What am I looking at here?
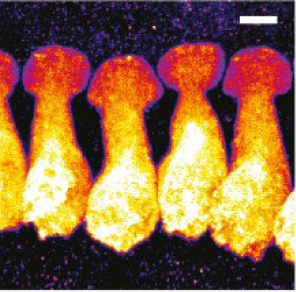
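A single row of inner hair cells is seen, each flask-shaped with a rounded apical head, a constricted neck and a broad basal body. The label fills the cytoplasm throughout, brightest (yellow to white) in the neck and basal body and somewhat dimmer in the apical heads, while the surroundings are dark.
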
